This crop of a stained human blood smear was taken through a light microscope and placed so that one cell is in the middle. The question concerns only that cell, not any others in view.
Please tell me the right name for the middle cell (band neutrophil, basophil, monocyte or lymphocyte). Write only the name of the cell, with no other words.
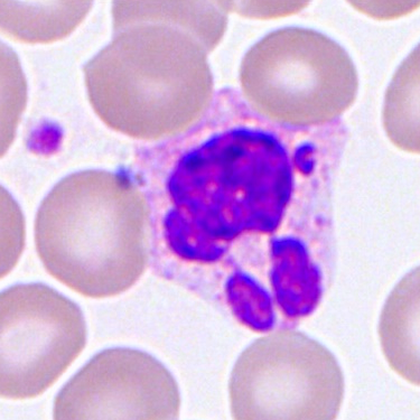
basophil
